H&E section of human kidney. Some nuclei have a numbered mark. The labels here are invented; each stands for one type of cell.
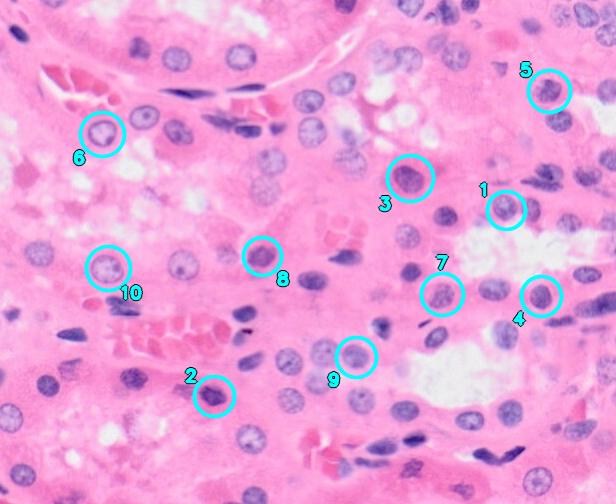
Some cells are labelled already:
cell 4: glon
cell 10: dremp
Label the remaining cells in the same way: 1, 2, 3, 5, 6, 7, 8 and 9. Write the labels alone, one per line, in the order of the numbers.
glon
dremp
dremp
glon
dremp
glon
dremp
glon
